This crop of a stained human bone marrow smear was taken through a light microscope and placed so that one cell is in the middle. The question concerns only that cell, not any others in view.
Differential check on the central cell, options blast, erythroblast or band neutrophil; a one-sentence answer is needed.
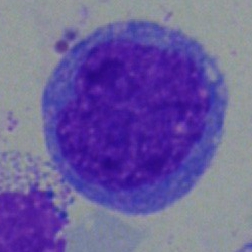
By classification, the middle cell of this crop is a blast.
